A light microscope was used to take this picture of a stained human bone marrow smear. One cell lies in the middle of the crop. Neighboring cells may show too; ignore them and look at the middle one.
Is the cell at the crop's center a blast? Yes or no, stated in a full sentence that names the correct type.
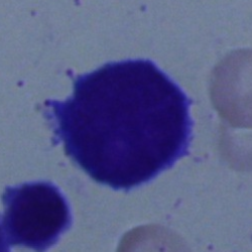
Yes, the cell that is in the middle is a blast.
